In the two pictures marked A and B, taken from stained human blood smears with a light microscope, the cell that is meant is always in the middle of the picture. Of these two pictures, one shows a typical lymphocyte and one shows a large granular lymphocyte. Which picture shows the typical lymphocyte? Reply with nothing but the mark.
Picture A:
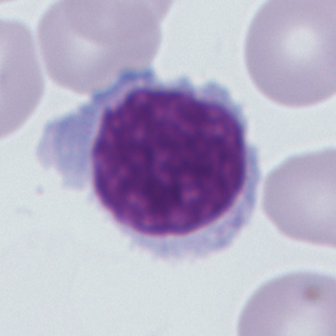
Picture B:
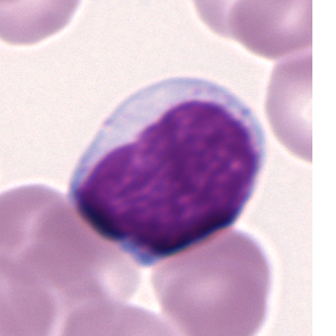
A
